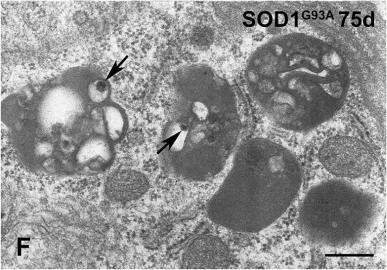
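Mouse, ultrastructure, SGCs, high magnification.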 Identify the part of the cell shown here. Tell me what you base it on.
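Secondary lysosomes and residual bodies. Several round membrane-bound bodies of grey to dark content. Some bodies contain pale vacuoles and membranous debris, others are uniformly dense.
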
